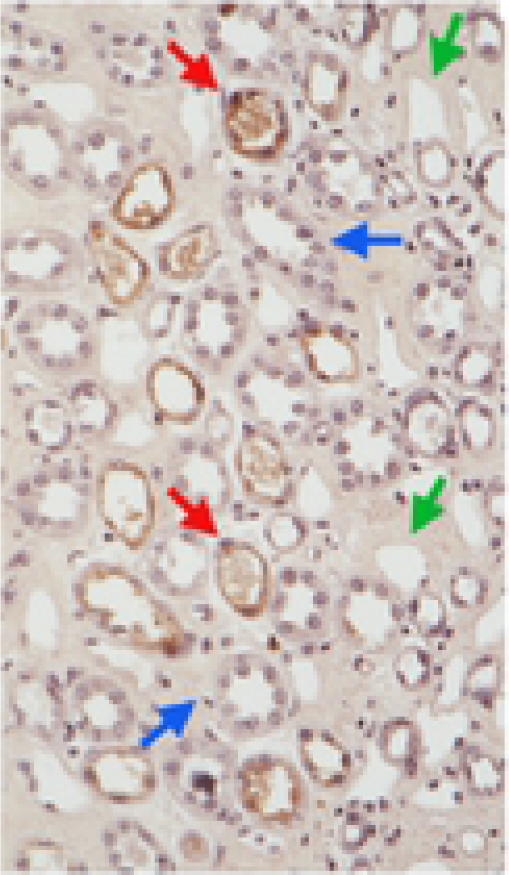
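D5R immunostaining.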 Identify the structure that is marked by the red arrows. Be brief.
Medullary thick ascending limbs of Henle.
